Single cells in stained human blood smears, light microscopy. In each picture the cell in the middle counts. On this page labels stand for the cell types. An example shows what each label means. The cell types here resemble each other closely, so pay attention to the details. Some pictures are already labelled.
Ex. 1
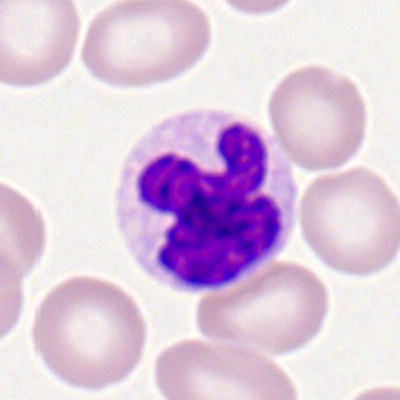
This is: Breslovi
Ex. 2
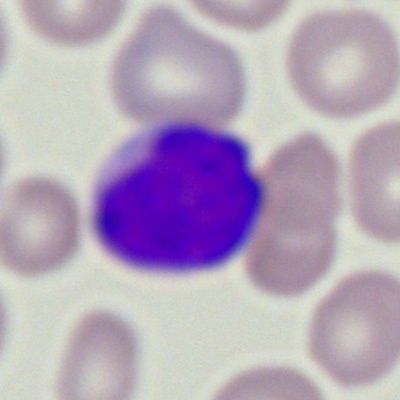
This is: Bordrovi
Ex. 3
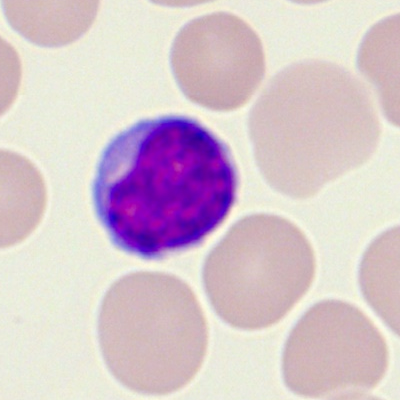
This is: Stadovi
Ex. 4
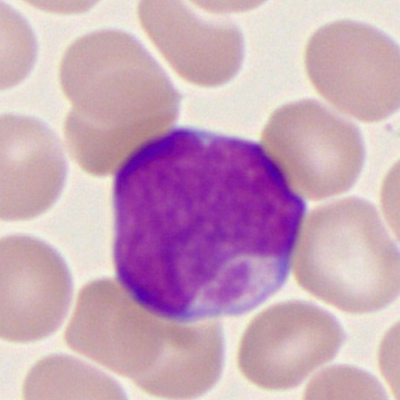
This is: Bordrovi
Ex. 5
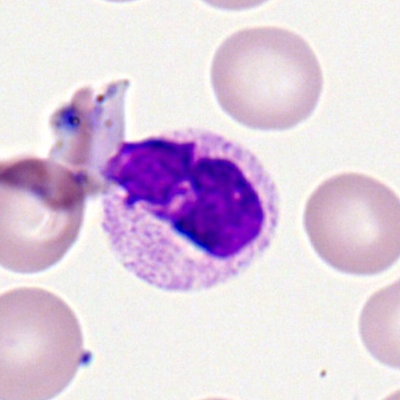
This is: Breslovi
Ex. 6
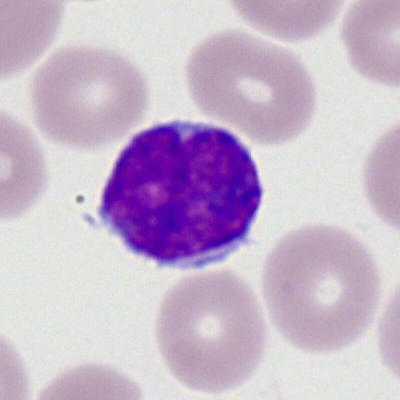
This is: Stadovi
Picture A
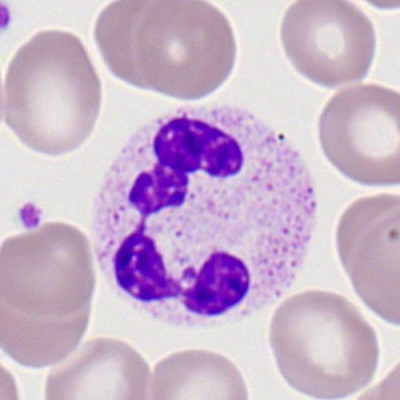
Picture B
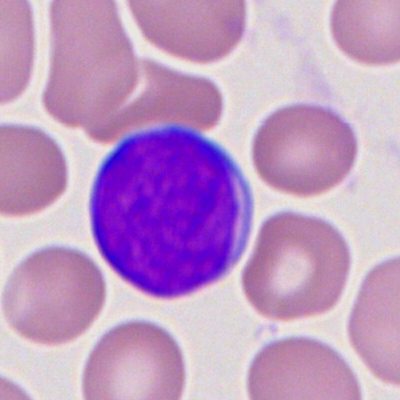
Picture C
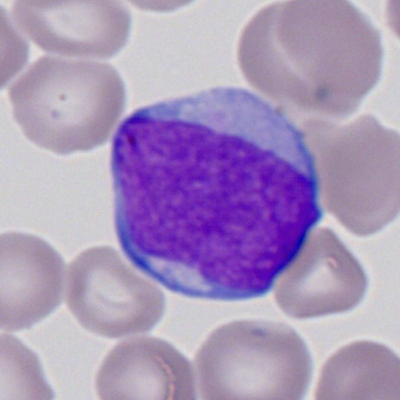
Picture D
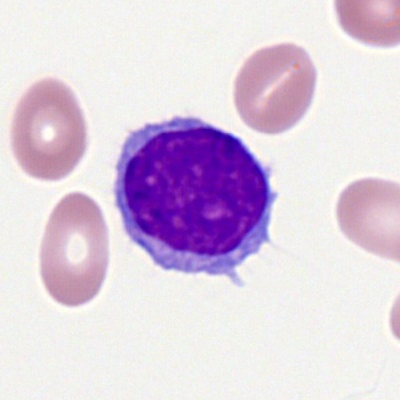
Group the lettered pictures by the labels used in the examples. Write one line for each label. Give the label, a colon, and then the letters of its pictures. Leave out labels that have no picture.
Breslovi: A
Bordrovi: B, C
Stadovi: D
